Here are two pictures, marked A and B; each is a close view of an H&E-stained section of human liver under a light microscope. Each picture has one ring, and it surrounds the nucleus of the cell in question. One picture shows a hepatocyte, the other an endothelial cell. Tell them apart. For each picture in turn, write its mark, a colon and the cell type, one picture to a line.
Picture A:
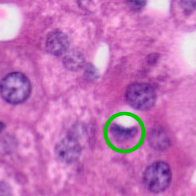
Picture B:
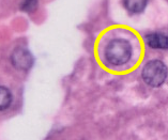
A: endothelial cell
B: hepatocyte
